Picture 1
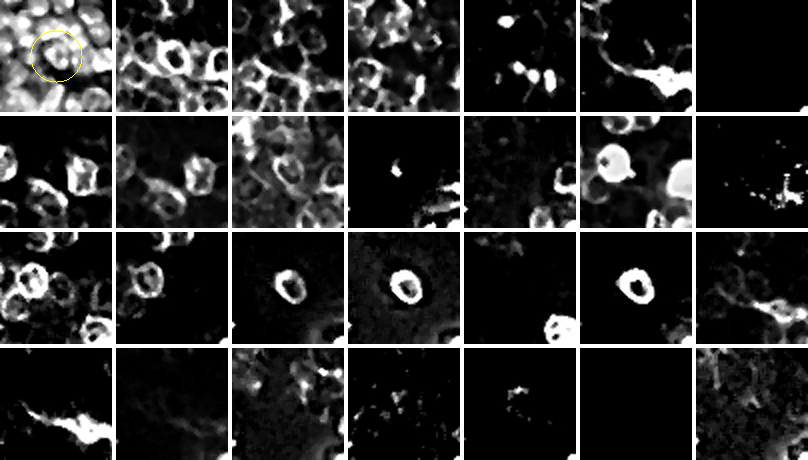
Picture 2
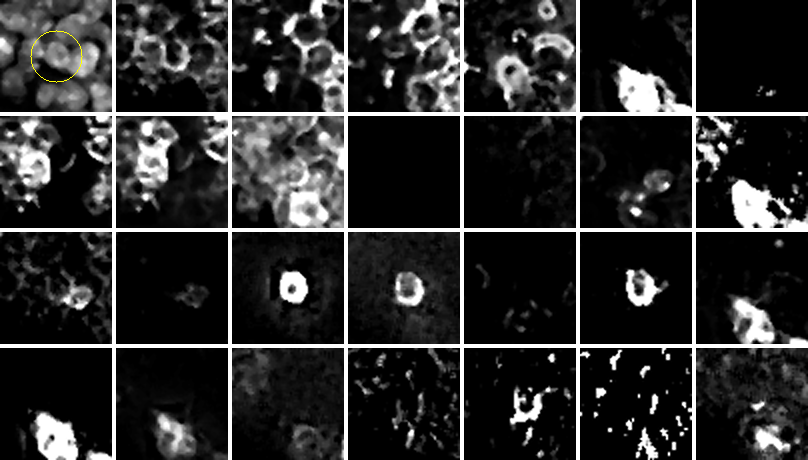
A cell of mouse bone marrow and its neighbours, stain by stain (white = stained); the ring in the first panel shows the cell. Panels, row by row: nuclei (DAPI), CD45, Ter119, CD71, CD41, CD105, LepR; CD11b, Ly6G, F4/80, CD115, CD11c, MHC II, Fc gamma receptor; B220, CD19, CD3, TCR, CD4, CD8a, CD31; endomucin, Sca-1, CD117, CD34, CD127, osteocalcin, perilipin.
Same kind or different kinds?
Same: CD8 T cells.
